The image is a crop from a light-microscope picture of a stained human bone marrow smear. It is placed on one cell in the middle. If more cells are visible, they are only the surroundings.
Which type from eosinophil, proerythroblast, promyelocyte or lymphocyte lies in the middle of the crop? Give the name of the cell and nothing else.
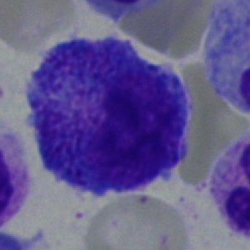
promyelocyte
